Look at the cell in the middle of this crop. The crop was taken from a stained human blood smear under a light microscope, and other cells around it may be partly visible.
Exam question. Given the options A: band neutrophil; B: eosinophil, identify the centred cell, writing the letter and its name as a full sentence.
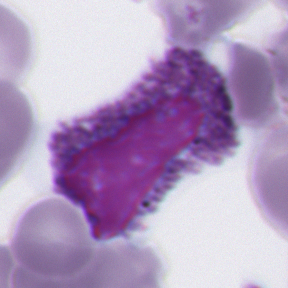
Since the middle cell is an eosinophil, option B is the right one.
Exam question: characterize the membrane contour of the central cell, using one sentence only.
Irregular rather than smooth, the cell margin shows ragged areas or projections.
